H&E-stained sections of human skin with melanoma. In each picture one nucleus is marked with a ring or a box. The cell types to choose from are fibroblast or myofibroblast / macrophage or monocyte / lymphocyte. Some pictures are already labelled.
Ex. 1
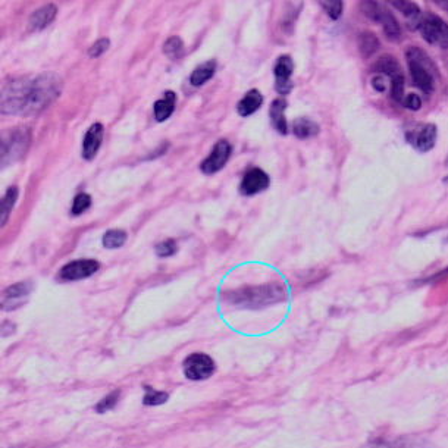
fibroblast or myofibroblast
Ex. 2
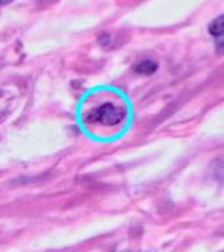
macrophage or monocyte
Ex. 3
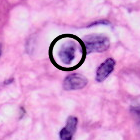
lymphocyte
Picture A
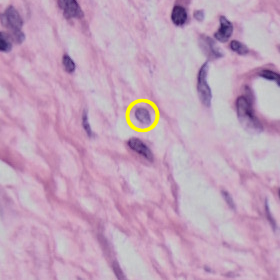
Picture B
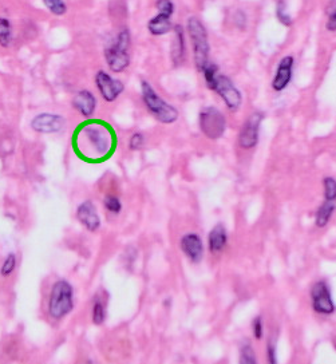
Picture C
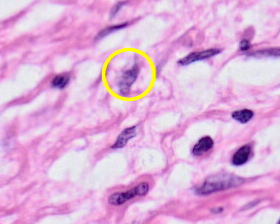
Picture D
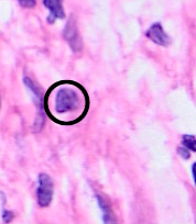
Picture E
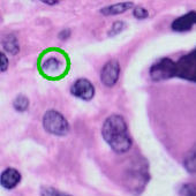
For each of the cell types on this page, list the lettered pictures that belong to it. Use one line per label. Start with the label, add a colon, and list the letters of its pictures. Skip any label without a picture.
fibroblast or myofibroblast: C
macrophage or monocyte: A, B
lymphocyte: D, E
